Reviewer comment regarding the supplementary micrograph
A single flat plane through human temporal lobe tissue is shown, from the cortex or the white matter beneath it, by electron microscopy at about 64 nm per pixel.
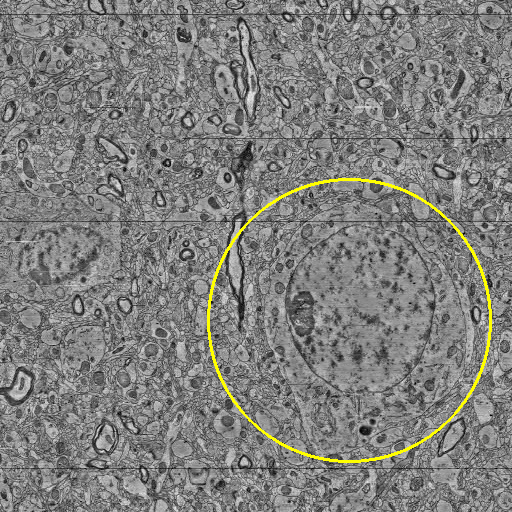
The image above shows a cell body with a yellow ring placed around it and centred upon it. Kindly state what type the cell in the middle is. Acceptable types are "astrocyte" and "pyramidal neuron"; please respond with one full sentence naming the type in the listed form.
In the image above, the cell on which the yellow ring is centred is a pyramidal neuron.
